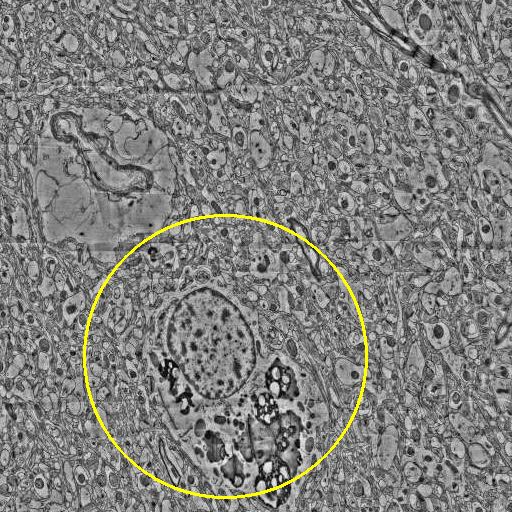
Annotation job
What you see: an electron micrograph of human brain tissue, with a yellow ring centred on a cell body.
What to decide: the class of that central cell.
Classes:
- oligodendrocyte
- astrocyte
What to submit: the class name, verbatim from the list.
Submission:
astrocyte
